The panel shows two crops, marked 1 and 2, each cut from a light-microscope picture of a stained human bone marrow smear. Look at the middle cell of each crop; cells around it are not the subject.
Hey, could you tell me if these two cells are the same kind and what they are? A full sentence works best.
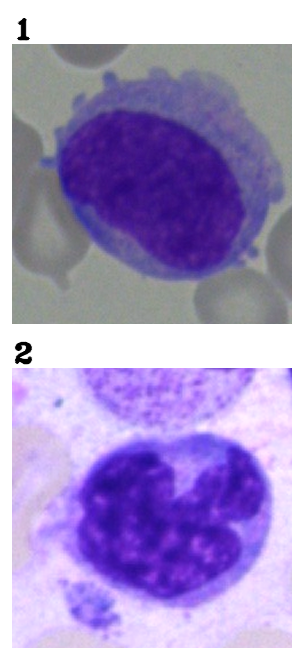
Yes, at the centre of both crops are monocytes.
